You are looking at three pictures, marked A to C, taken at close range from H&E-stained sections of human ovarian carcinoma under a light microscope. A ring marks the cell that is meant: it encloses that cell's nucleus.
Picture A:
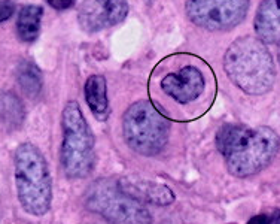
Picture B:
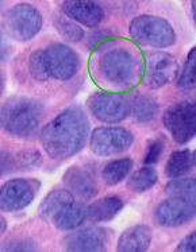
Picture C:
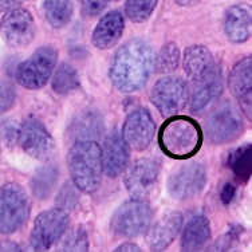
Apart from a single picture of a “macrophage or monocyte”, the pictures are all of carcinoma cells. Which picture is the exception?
A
